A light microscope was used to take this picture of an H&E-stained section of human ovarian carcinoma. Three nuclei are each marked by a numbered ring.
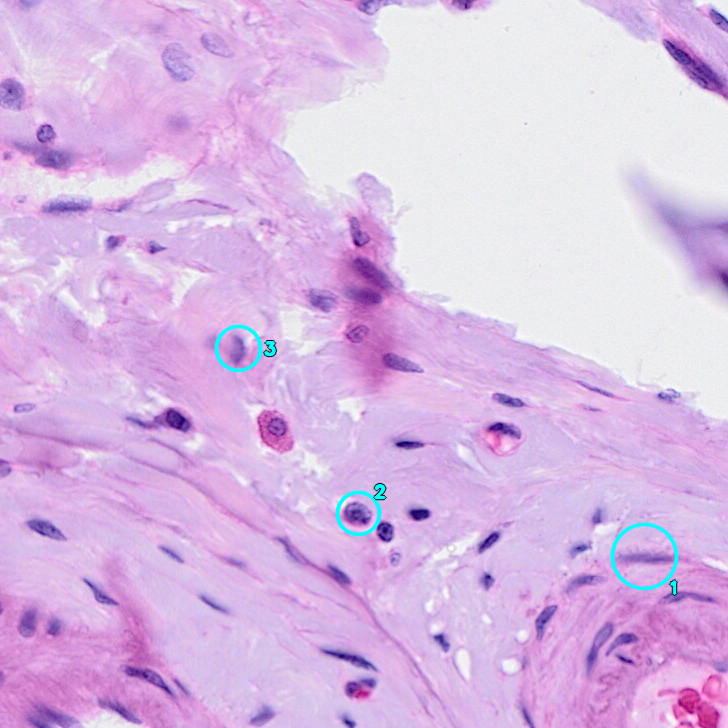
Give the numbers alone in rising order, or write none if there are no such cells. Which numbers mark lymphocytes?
2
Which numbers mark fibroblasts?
3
